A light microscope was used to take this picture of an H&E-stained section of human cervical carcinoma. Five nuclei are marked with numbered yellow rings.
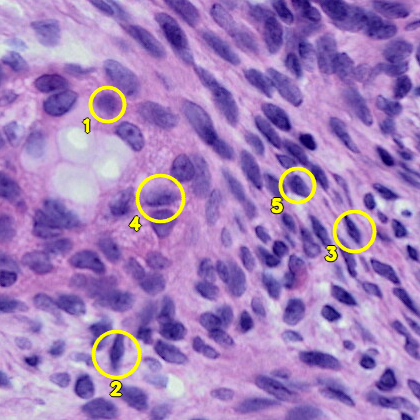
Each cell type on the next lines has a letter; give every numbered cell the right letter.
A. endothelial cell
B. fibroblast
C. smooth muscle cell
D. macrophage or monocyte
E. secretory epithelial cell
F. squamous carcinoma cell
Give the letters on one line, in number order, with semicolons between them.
E; B; B; E; B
